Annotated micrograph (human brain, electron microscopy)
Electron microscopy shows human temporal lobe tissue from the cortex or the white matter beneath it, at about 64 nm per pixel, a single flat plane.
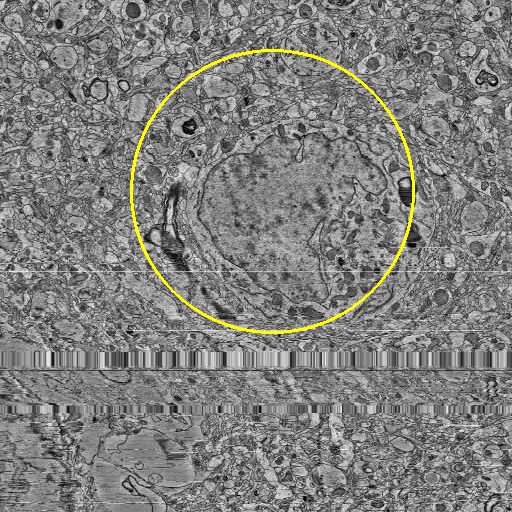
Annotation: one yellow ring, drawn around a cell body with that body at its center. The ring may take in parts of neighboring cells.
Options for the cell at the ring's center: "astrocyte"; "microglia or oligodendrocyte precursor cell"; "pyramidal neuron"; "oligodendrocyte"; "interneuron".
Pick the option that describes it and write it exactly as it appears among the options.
interneuron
